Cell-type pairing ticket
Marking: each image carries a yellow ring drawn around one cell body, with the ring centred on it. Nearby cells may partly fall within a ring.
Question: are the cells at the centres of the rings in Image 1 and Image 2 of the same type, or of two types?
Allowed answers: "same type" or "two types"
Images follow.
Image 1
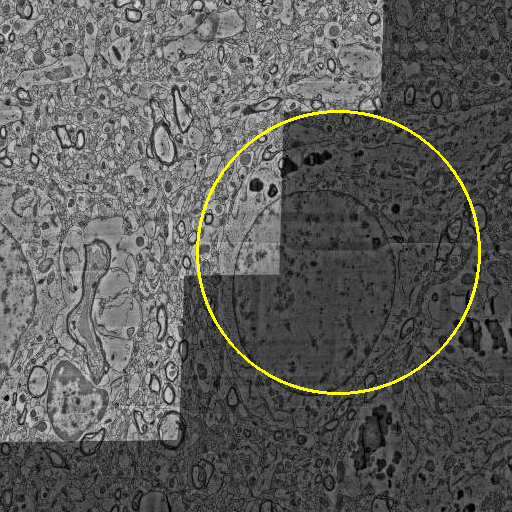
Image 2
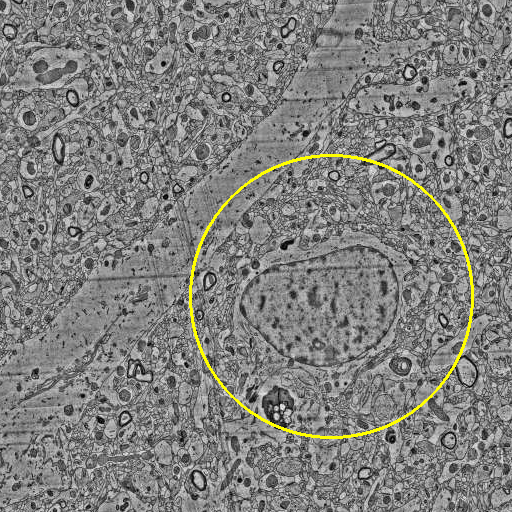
two types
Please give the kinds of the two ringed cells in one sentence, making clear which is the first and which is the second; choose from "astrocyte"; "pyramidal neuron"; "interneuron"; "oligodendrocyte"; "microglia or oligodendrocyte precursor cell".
In the second picture the ringed cell is a microglial cell or oligodendrocyte precursor cell; in the first it is a pyramidal neuron.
